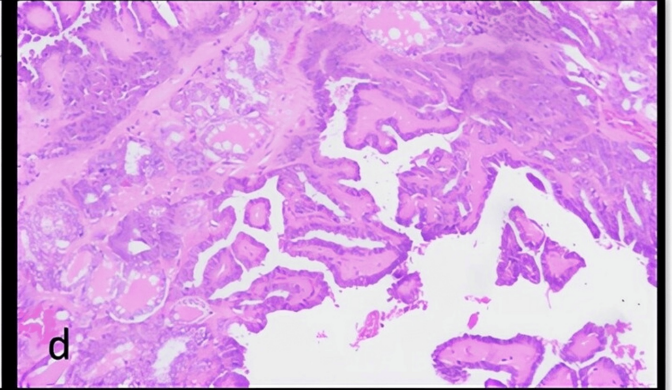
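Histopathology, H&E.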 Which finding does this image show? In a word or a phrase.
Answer: Papillary carcinoma of thyroid.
